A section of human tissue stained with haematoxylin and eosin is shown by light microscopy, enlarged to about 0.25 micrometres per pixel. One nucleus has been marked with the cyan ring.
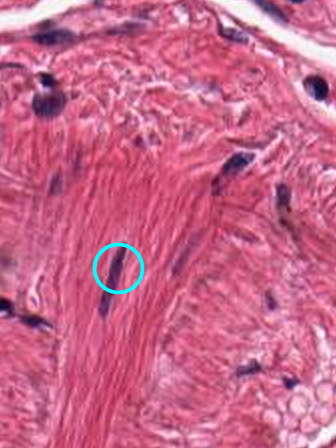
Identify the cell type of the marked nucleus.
smooth muscle cell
